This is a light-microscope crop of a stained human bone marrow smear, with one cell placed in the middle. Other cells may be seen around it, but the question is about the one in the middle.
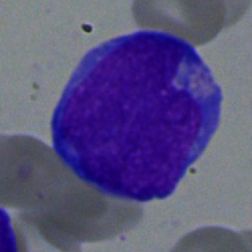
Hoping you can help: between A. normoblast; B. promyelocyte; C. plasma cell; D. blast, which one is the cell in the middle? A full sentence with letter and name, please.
Option D stands as correct, the central cell being a blast.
